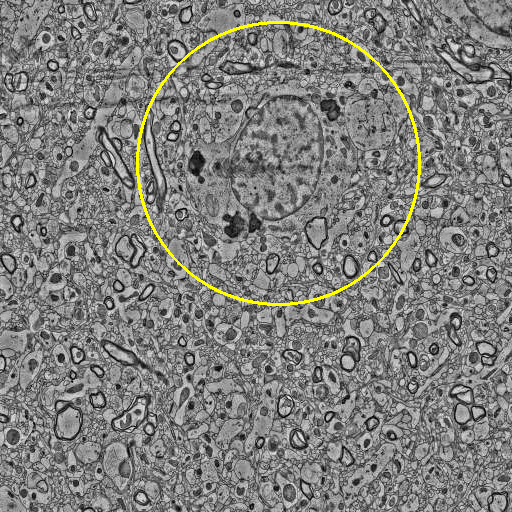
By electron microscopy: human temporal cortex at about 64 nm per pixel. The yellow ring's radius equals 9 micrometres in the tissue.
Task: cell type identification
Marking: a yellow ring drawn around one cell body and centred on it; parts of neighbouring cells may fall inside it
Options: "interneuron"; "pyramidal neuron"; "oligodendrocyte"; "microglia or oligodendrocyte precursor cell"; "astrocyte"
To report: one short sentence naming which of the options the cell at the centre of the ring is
The cell at the centre of the ring is an oligodendrocyte.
